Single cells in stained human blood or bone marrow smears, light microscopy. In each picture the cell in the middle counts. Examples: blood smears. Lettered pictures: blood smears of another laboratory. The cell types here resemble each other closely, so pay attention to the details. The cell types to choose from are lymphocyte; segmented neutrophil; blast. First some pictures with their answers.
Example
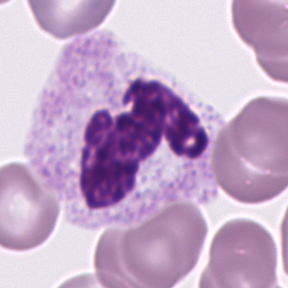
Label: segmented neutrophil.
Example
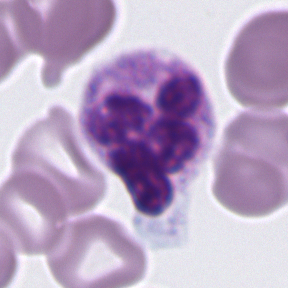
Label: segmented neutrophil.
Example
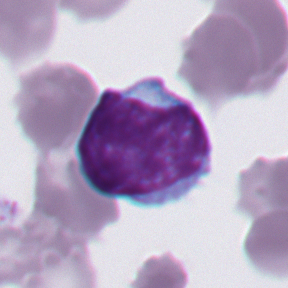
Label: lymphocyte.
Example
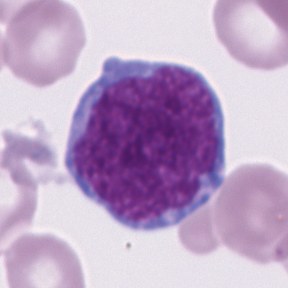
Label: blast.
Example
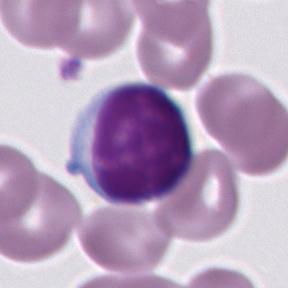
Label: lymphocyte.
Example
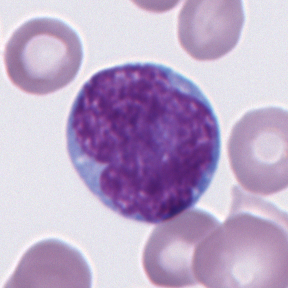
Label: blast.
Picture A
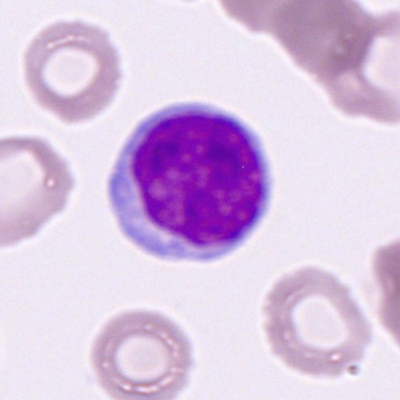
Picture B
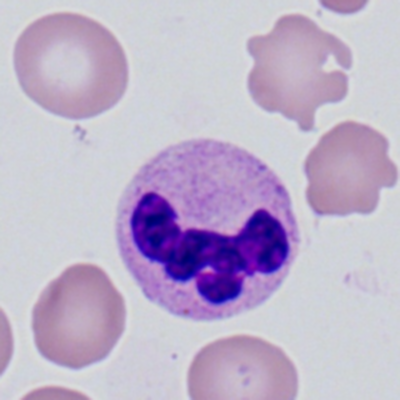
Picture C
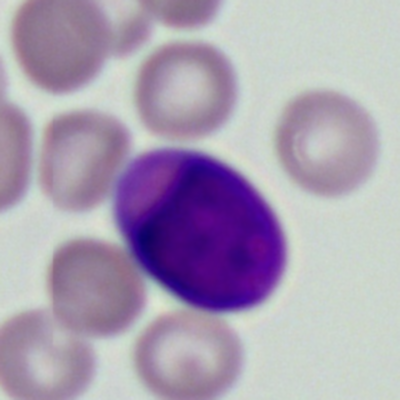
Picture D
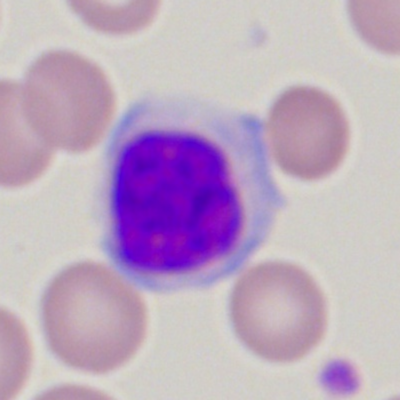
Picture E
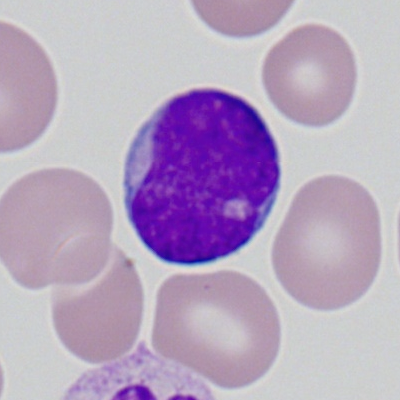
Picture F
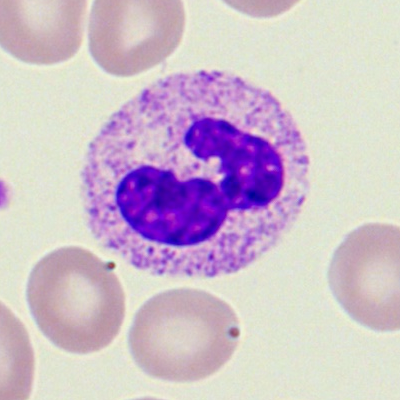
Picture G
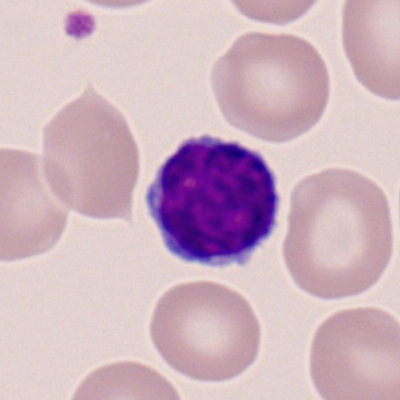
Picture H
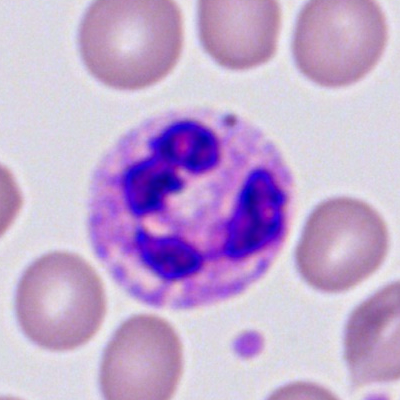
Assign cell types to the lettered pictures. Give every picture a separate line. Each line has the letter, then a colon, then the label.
A: lymphocyte.
B: segmented neutrophil.
C: blast.
D: lymphocyte.
E: blast.
F: segmented neutrophil.
G: lymphocyte.
H: segmented neutrophil.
